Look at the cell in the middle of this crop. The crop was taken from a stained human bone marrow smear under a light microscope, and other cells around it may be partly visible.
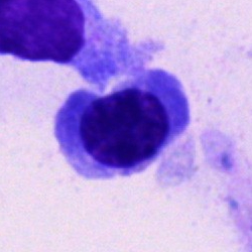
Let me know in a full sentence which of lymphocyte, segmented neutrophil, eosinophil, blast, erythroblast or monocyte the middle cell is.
Standing at the centre of this crop is an erythroblast.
